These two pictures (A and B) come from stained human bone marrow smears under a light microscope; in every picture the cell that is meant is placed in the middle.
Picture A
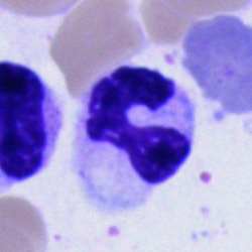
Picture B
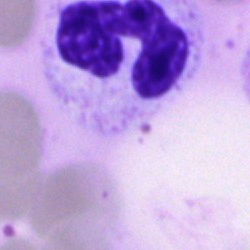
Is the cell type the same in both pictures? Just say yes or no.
yes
